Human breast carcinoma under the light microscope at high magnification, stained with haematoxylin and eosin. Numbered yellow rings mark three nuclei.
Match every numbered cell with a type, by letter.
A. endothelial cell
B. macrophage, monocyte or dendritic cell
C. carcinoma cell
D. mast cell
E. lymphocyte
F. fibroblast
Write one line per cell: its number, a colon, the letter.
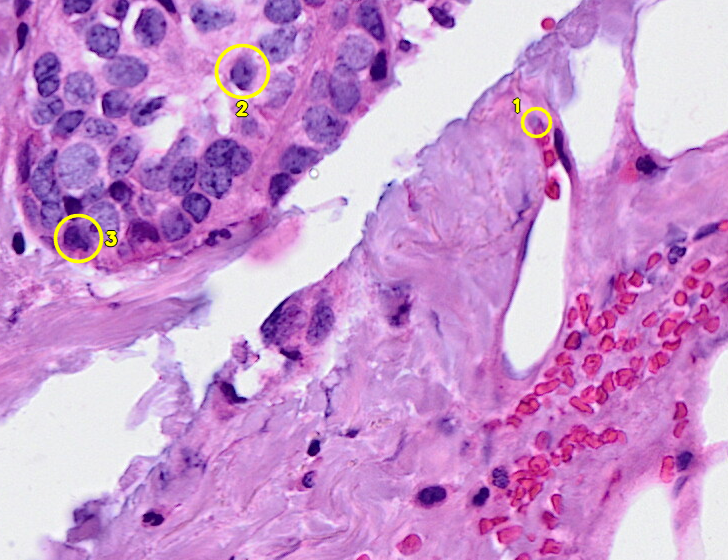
1: A
2: C
3: C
